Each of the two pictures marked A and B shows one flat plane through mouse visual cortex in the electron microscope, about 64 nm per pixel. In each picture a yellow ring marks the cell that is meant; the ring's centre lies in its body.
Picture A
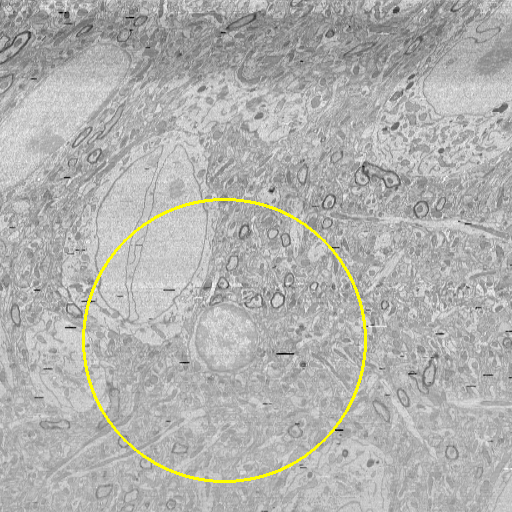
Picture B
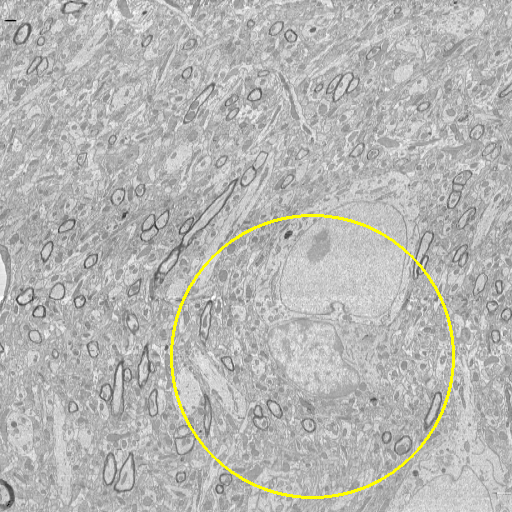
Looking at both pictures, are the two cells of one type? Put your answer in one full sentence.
Yes; the cells in both pictures are oligodendrocytes.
